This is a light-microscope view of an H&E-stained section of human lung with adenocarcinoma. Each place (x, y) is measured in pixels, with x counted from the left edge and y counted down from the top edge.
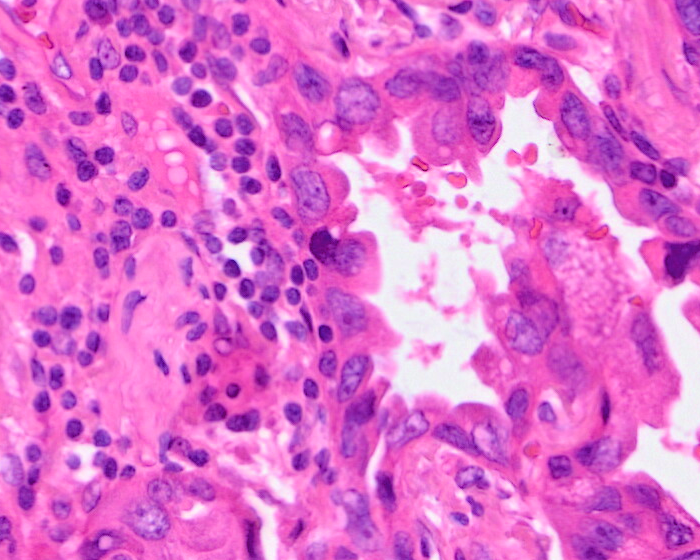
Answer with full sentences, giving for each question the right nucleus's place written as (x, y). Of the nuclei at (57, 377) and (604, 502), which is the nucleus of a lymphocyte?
The nucleus whose position is (57, 377) belongs to a lymphocyte.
